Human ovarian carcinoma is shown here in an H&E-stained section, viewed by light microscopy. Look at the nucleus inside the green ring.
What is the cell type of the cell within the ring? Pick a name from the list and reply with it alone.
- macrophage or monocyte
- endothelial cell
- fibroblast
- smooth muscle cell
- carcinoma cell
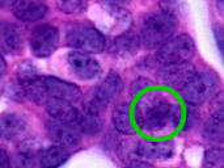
carcinoma cell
